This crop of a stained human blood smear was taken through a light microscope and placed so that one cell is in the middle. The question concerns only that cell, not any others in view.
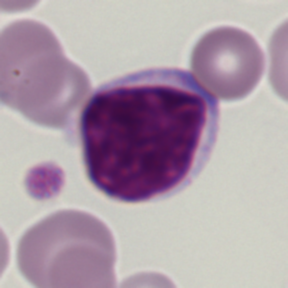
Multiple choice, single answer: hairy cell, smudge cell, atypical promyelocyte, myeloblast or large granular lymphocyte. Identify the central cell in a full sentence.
Looking at the middle of the crop, the cell there is a large granular lymphocyte.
